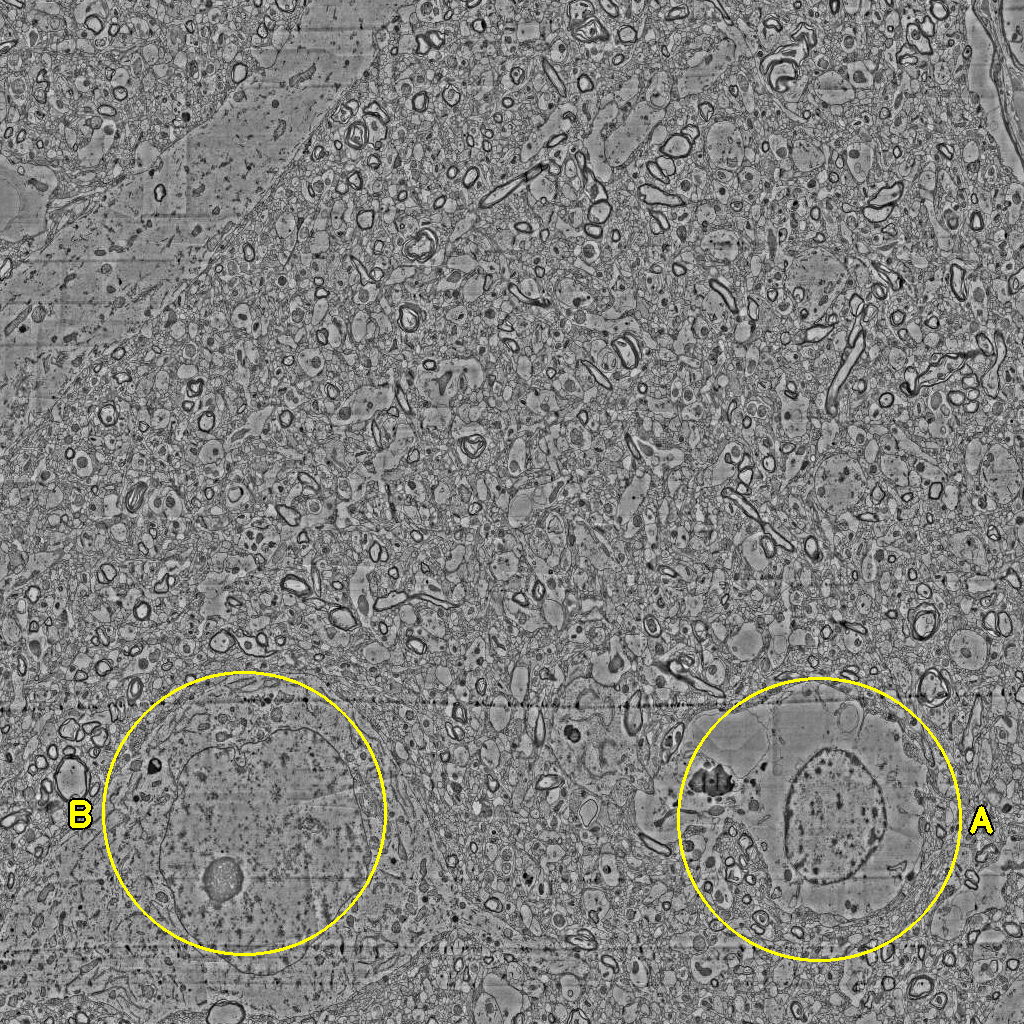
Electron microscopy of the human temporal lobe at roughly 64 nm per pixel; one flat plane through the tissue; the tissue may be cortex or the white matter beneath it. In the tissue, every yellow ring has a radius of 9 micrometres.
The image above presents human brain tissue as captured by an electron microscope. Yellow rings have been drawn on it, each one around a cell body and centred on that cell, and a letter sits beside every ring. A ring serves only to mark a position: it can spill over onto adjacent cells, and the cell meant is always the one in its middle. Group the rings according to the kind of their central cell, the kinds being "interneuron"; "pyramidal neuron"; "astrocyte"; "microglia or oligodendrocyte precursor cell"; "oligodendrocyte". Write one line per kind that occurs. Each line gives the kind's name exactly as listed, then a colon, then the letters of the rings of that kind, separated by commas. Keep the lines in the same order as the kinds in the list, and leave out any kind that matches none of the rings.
pyramidal neuron: B
astrocyte: A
